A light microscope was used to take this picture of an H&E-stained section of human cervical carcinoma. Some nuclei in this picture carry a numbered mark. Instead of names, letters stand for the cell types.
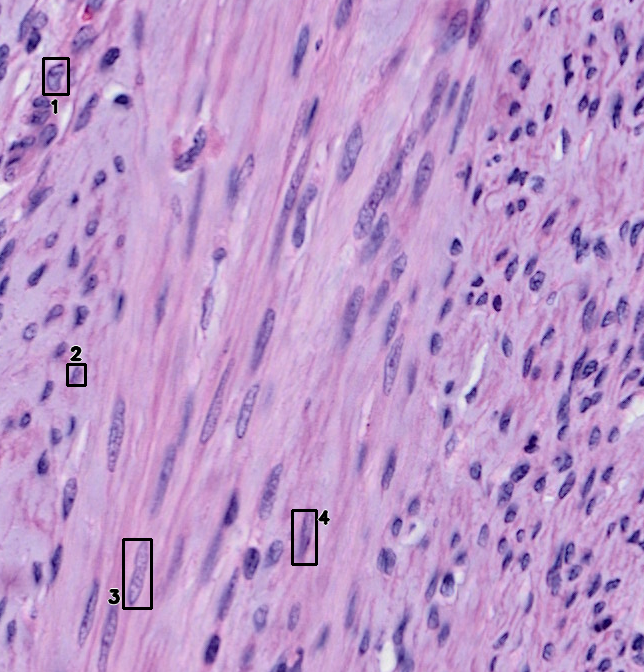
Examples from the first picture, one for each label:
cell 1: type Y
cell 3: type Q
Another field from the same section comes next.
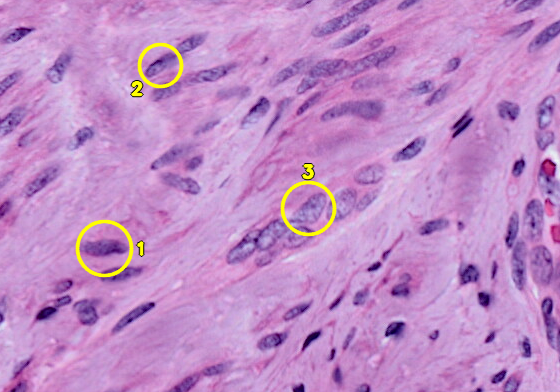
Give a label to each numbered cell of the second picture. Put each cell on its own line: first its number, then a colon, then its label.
1: type Q
2: type Q
3: type Y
